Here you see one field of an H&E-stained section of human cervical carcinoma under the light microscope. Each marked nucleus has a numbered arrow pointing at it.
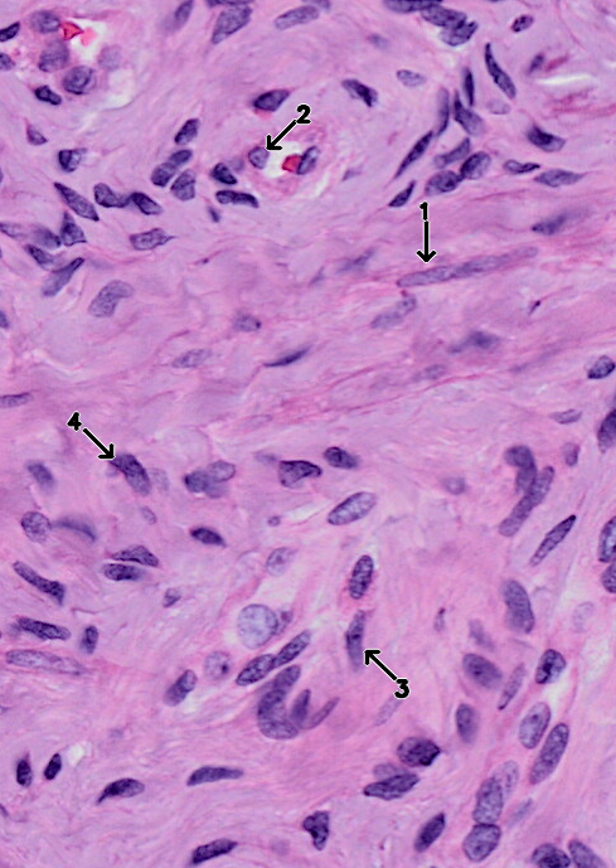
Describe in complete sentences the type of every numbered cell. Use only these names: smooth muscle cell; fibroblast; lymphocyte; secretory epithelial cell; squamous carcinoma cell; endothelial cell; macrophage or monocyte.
Cell 1 is a smooth muscle cell. Cell 2 is an endothelial cell. Cells 3 and 4 are fibroblasts.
